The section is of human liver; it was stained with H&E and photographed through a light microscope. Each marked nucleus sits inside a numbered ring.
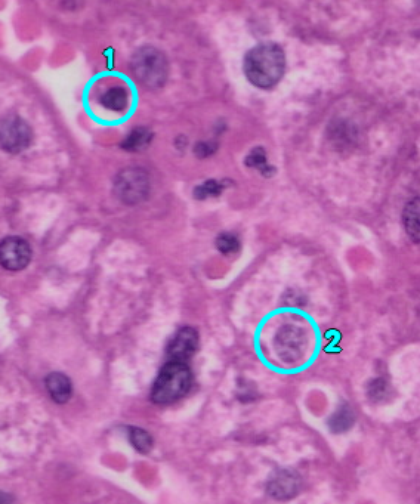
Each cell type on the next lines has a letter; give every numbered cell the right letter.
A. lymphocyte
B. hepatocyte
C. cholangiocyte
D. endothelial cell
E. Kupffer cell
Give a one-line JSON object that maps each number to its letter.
{"1": "A", "2": "B"}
